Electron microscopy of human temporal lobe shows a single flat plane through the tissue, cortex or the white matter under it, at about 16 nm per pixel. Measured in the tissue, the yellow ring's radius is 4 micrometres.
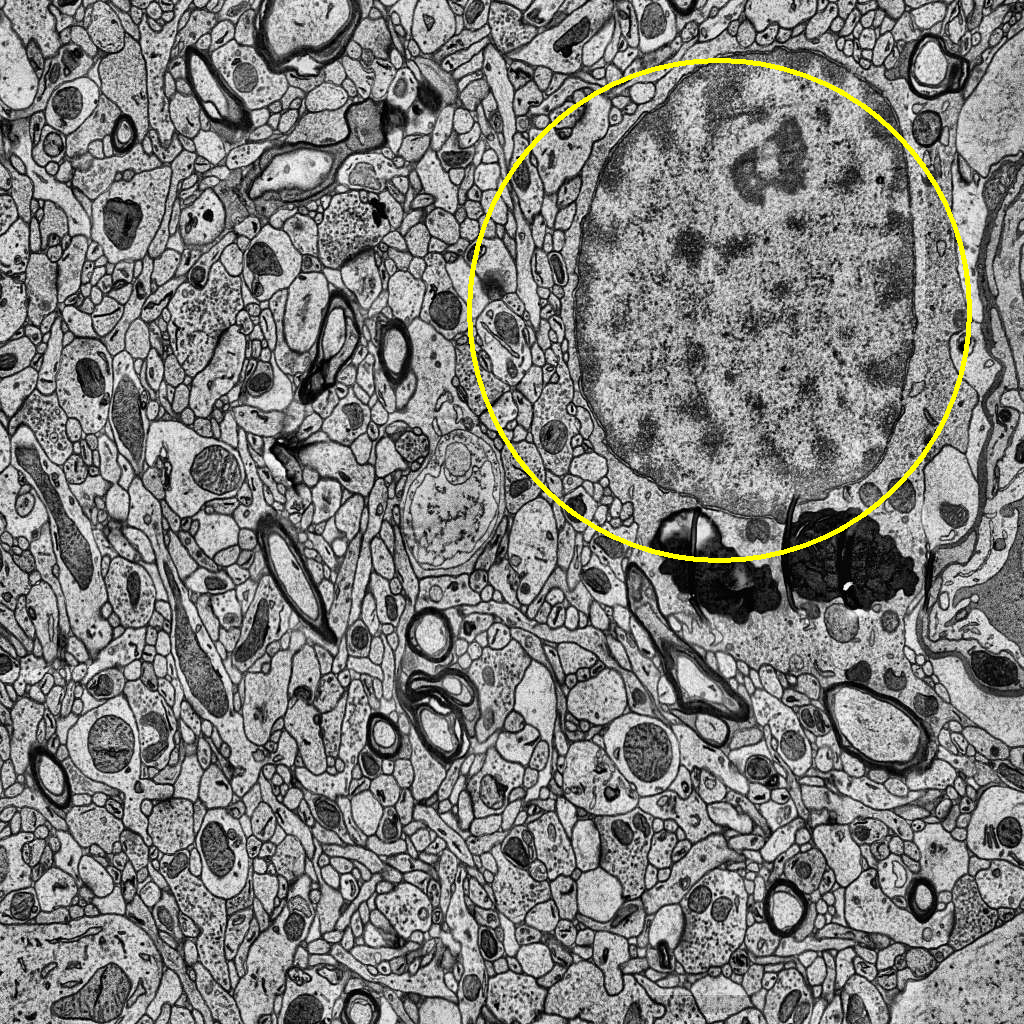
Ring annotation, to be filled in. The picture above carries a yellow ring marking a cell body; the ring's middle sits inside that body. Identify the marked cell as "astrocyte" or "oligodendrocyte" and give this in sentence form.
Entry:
The cell at the middle of the ring is an oligodendrocyte.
